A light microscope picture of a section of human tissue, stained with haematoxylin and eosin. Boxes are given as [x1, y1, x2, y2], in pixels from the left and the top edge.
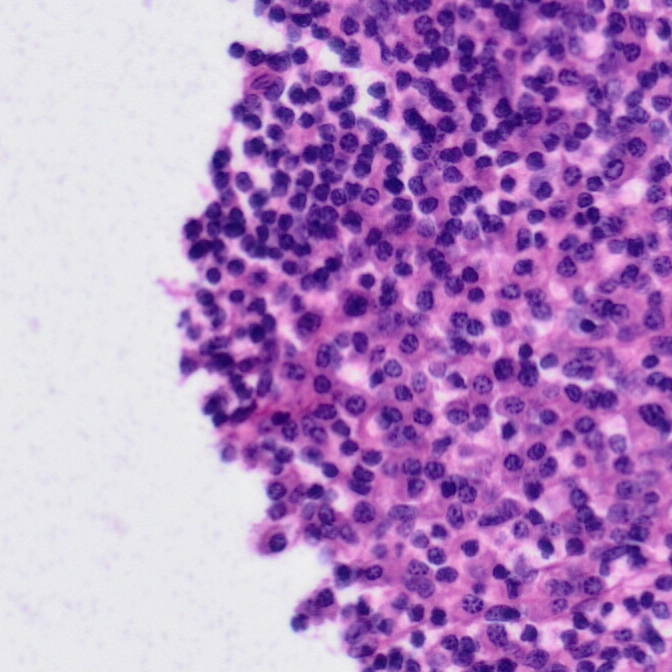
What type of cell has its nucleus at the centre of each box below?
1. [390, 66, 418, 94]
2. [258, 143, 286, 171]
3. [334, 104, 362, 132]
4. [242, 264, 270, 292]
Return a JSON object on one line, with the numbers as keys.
{"1": "small lymphocyte", "2": "small lymphocyte", "3": "small lymphocyte", "4": "plasma cell"}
